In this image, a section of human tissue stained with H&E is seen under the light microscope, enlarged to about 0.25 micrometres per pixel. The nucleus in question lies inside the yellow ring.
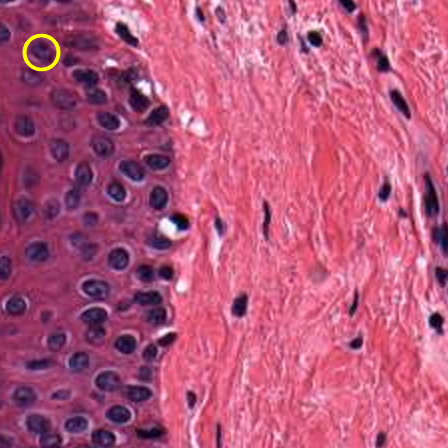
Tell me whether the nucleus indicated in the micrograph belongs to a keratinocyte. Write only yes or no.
yes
